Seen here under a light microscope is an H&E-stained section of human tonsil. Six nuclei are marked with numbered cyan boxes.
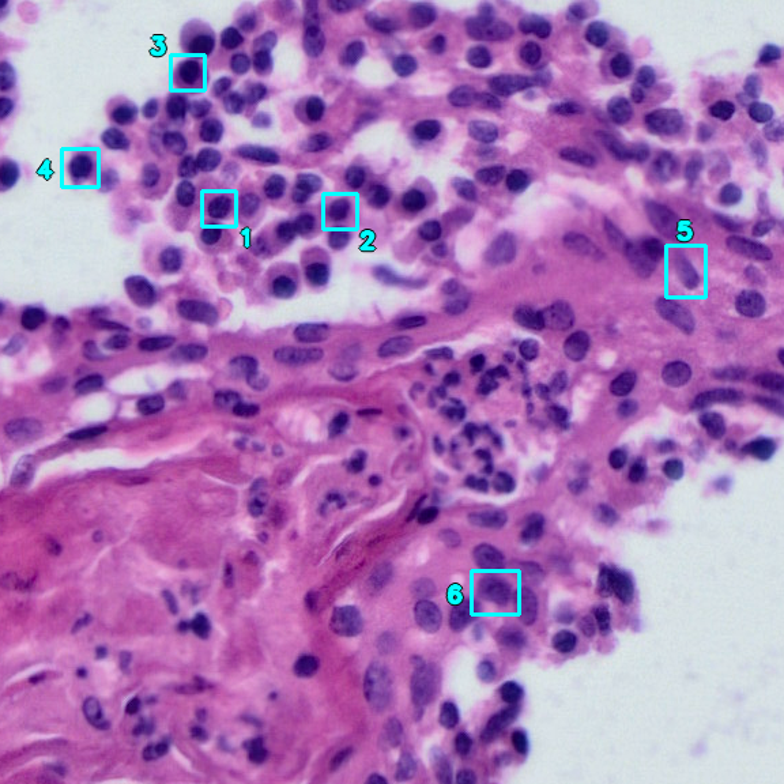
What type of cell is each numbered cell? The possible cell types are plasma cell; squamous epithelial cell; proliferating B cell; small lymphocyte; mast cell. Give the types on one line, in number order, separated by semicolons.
plasma cell; plasma cell; plasma cell; plasma cell; squamous epithelial cell; squamous epithelial cell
